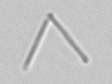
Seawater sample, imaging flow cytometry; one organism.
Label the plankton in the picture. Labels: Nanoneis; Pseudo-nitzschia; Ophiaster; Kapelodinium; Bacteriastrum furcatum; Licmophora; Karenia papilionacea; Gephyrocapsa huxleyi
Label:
Nanoneis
